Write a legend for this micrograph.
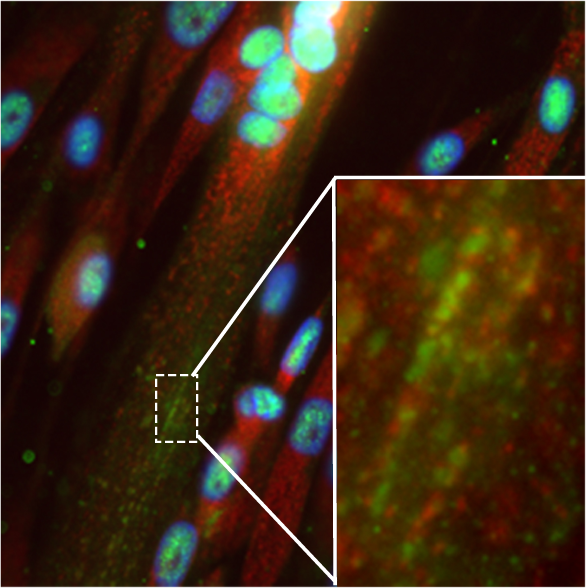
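This field shows elongated myotubes and neighbouring spindle-shaped cells, with a cluster of bright nuclei at the top and scattered oval blue nuclei elsewhere. A small dashed rectangle in the cytoplasm of an elongated cell, away from nuclei, is enlarged in the inset at lower right. In the inset the cytoplasm is dotted with many small green and red puncta, some lying together and yellowish where they overlap, arranged loosely along the cell's long axis. Red staining is heavier in the cytoplasm of several narrower cells, and the nuclei carry a green tint over the blue.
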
